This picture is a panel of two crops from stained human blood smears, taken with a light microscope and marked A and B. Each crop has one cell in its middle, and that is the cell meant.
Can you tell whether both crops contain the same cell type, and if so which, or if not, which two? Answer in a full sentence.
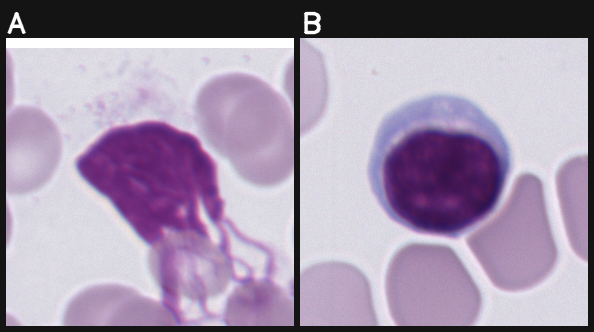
No, crop A depicts a smudge cell, and crop B depicts a typical lymphocyte.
